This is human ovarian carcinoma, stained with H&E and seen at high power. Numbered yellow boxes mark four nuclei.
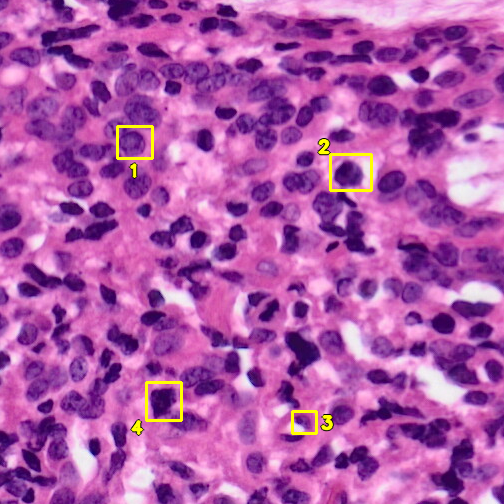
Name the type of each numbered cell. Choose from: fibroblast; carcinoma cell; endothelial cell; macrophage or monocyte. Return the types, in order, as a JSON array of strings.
["carcinoma cell", "carcinoma cell", "endothelial cell", "carcinoma cell"]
